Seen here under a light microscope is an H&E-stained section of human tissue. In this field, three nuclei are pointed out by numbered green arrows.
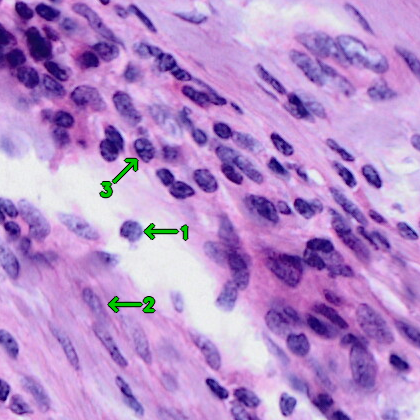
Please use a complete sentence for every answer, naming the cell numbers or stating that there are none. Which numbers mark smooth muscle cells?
The nucleus labelled 2 alone belongs to a smooth muscle cell; the other marked nuclei do not.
